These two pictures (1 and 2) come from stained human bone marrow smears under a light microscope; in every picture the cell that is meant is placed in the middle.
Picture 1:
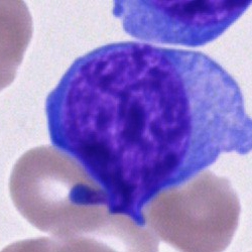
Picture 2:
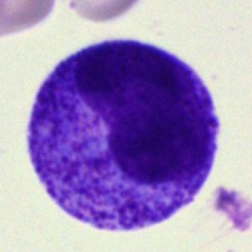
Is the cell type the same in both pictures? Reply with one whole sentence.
No, the types are not the same, since picture 1 shows a blast and picture 2 a promyelocyte.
